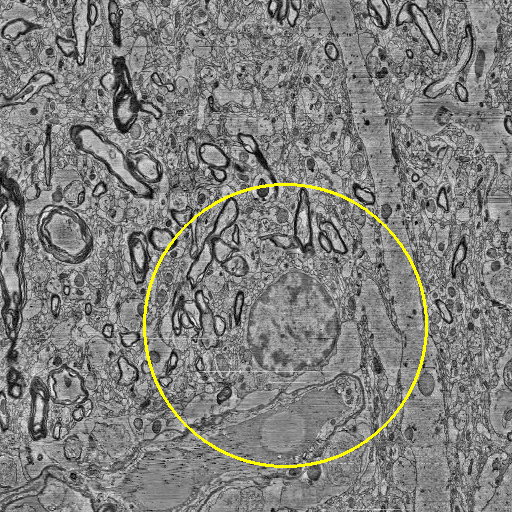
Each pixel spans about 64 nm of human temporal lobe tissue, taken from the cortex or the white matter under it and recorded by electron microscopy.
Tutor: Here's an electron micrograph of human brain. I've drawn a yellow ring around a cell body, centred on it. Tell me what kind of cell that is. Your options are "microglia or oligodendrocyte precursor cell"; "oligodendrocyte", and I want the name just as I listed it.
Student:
oligodendrocyte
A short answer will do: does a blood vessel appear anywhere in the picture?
Yes, a vessel shows somewhere in the image.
